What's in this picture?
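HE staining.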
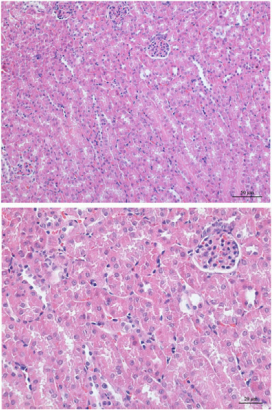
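This is kidney cortex stained pink and purple, with glomeruli set among closely packed tubules. The glomeruli appear as round tufts of purple nuclei surrounded by a thin clear space inside a capsule. The tubules are lined by cuboidal epithelial cells with pink cytoplasm and round, dark purple nuclei. The tubular lumens are narrow and the tubules lie tightly side by side with little space between them.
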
